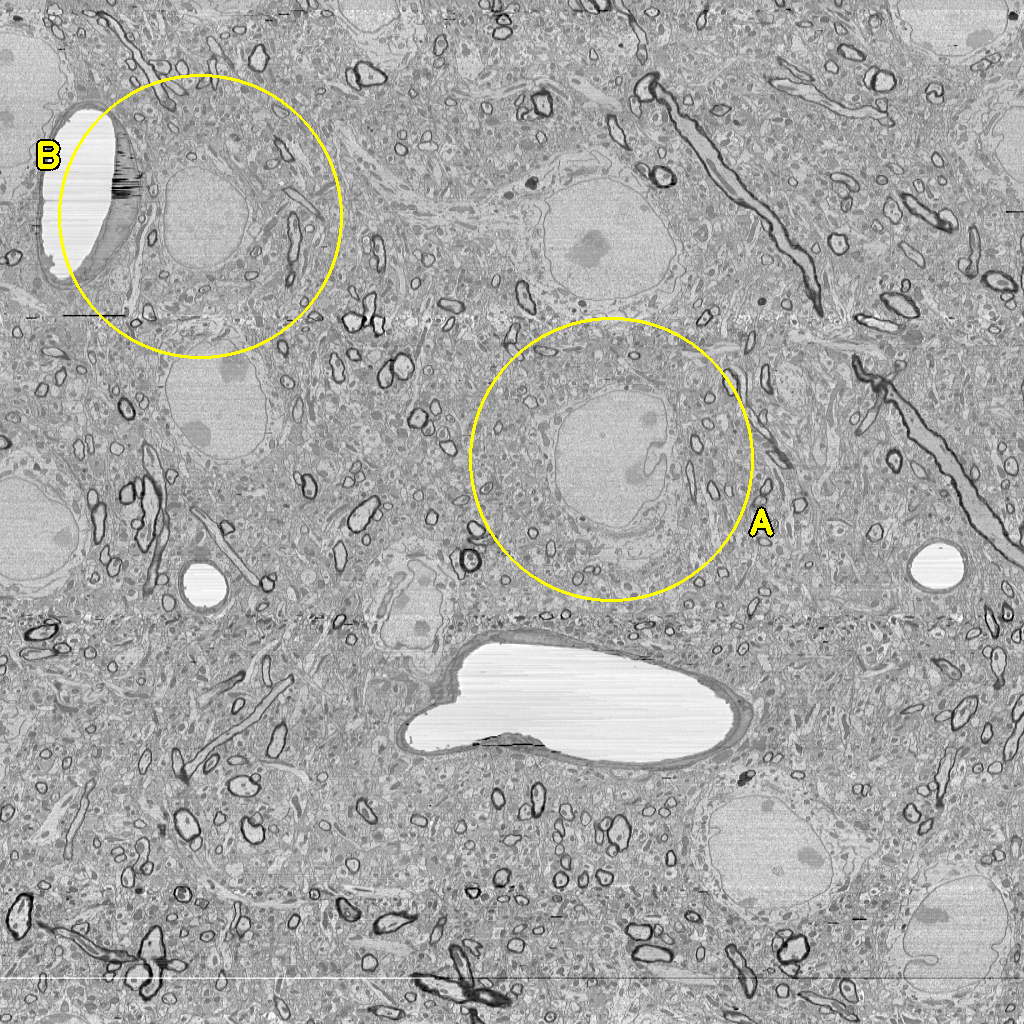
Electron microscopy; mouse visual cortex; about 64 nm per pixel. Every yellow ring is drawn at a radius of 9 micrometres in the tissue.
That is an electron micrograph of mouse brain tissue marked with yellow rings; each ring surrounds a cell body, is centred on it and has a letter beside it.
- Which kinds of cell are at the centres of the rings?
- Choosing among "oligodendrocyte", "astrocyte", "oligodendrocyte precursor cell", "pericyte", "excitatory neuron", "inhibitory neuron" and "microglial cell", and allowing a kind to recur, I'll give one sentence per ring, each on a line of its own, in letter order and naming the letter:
Ring A sits around an excitatory neuron.
Ring B sits around an astrocyte.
